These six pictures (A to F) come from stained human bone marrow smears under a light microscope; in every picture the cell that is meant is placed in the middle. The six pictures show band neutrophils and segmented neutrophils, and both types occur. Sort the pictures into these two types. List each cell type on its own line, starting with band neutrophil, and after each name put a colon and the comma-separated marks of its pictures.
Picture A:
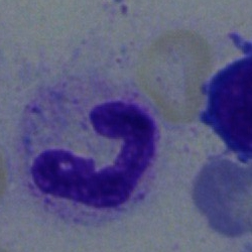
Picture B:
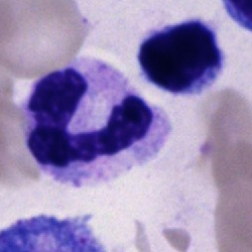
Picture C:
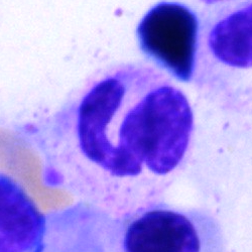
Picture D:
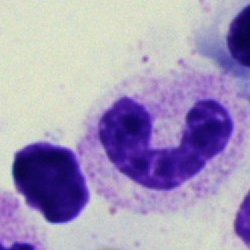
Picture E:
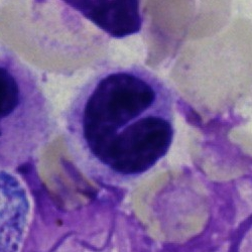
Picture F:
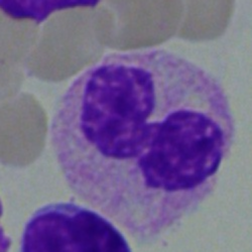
band neutrophil: D, E, F
segmented neutrophil: A, B, C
